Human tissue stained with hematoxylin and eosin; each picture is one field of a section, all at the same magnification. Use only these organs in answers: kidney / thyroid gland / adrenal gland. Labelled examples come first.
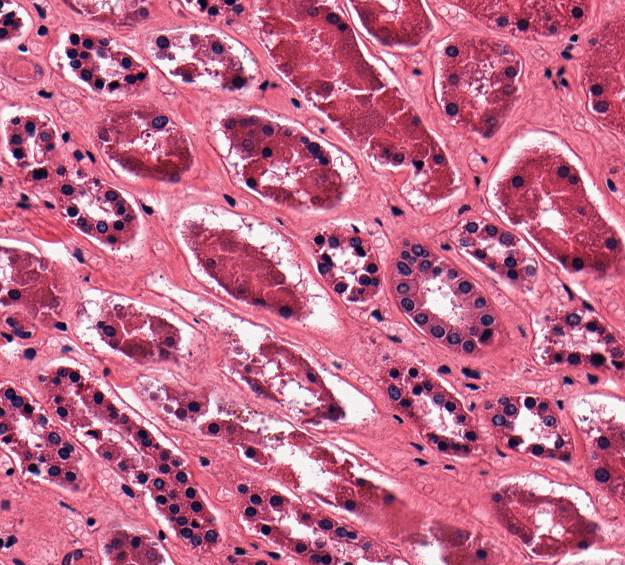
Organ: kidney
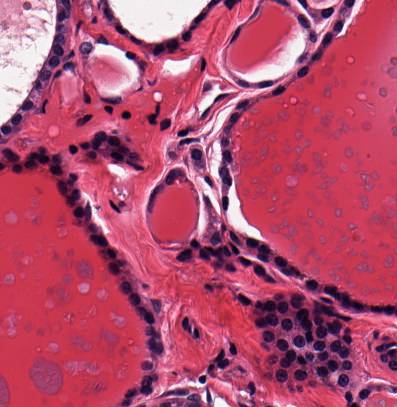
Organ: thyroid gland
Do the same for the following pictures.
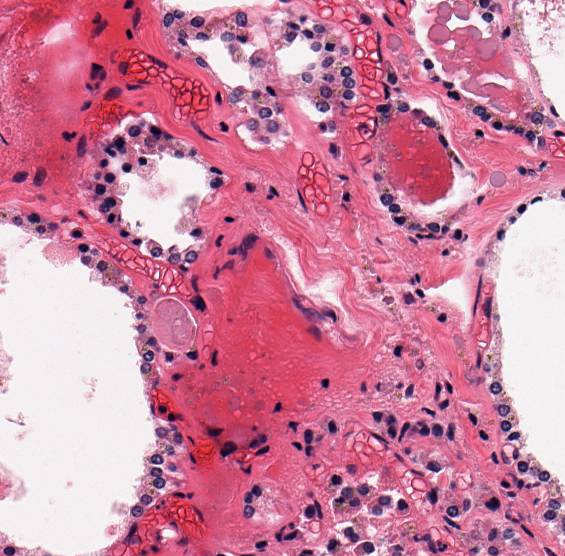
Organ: thyroid gland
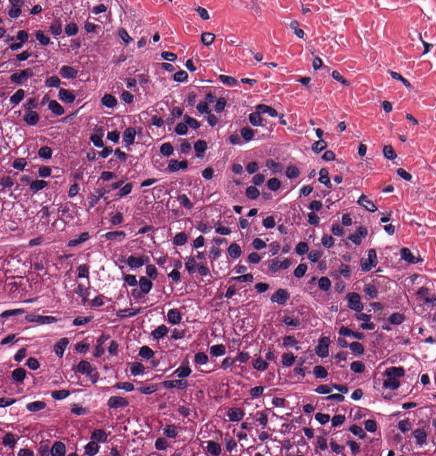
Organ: adrenal gland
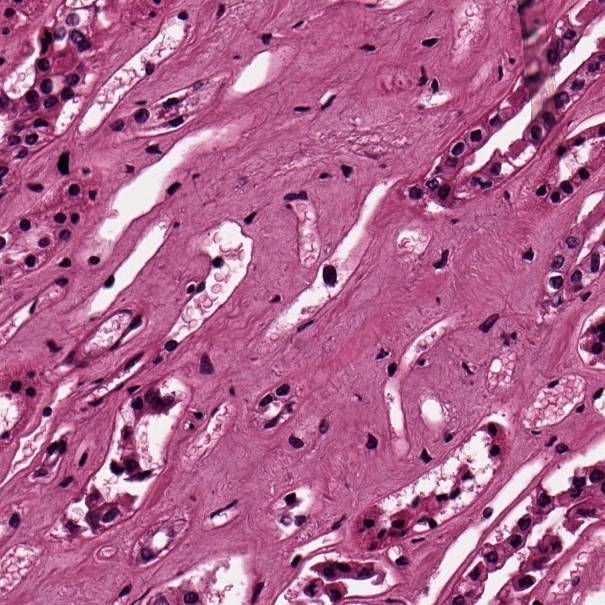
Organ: kidney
